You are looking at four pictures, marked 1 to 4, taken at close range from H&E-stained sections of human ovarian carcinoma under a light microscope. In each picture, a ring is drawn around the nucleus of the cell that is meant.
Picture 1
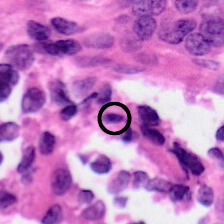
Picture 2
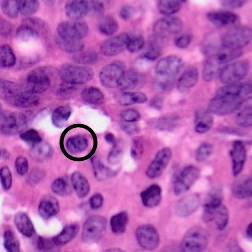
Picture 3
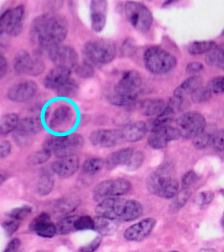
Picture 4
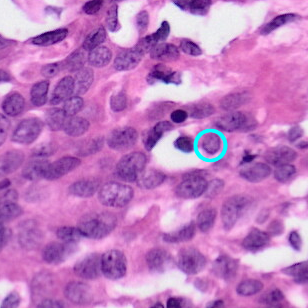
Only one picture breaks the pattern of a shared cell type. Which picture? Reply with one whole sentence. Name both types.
Picture 3 is the odd one out: it shows a carcinoma cell, while the others show “macrophages or monocytes”.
